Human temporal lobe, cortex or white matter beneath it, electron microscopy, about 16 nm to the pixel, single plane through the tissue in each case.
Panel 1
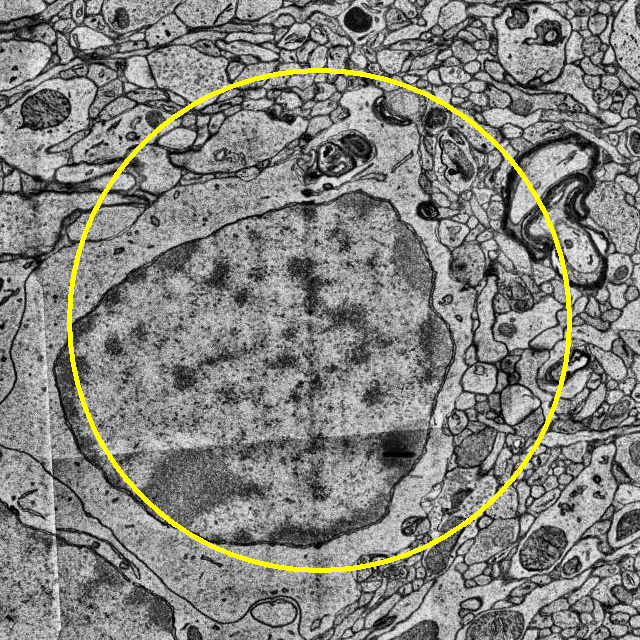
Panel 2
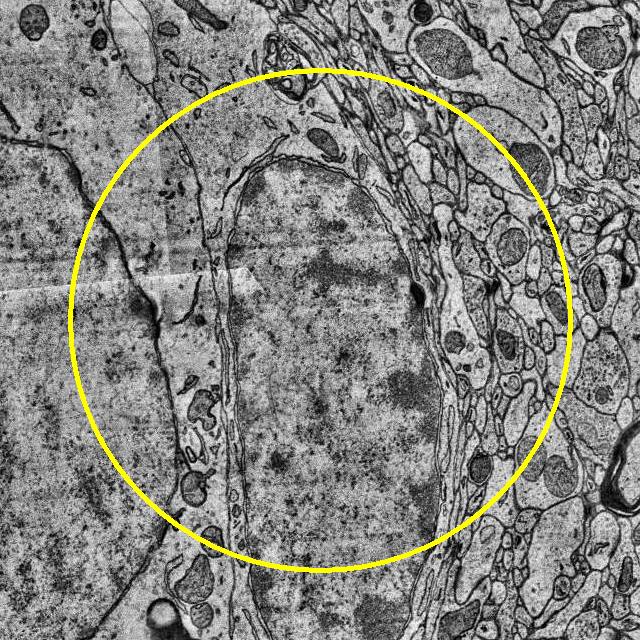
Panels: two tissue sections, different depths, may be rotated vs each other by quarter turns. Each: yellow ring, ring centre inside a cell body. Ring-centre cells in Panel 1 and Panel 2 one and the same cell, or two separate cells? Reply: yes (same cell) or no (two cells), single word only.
no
